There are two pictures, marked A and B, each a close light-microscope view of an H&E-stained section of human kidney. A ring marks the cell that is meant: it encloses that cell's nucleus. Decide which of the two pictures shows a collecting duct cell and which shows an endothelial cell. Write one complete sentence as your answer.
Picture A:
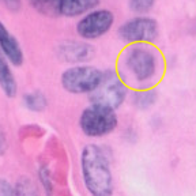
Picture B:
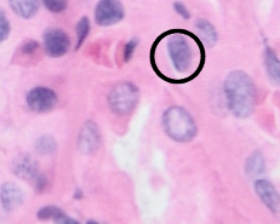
In picture A the cell is a collecting duct cell; in picture B, an endothelial cell.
